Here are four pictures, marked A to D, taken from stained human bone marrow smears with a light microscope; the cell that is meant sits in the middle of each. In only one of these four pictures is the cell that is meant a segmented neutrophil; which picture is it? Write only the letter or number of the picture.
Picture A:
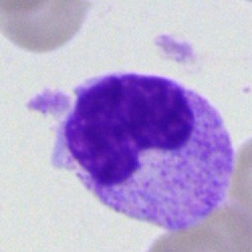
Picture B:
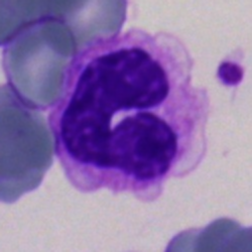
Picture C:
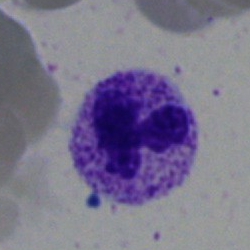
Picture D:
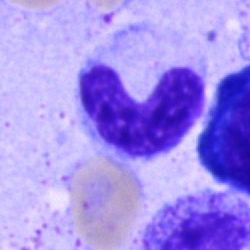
C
